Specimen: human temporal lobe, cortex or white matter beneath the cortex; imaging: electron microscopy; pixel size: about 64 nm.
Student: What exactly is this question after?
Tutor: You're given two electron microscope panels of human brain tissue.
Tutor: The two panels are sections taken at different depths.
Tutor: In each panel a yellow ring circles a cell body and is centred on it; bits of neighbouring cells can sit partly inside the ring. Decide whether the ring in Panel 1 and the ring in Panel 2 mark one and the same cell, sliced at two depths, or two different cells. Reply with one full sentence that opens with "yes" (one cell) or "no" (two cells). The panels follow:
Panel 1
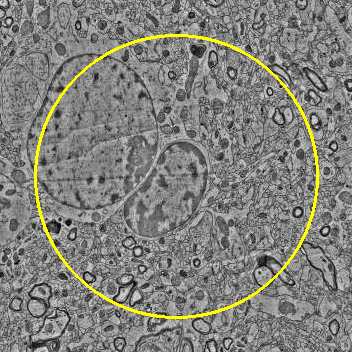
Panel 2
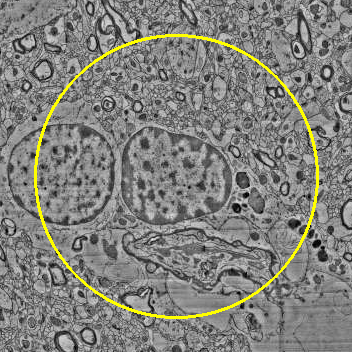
No, there are two different cells marked by the rings.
